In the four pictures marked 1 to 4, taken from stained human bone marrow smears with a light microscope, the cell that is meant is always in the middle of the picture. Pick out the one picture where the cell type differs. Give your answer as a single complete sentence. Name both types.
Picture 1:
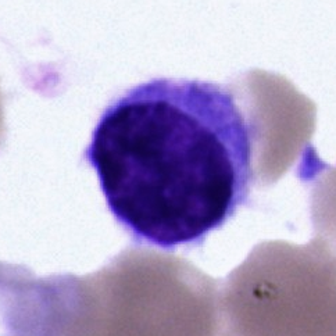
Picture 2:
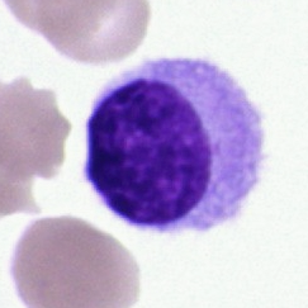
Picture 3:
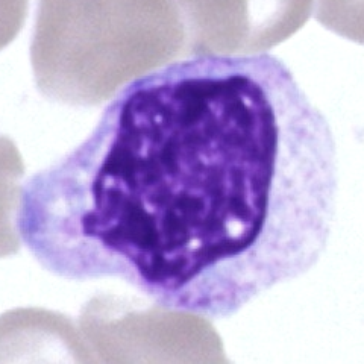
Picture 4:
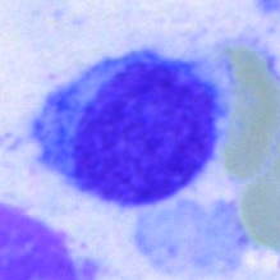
The different one is picture 3; it shows a monocyte, whereas all the others show hairy cells.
